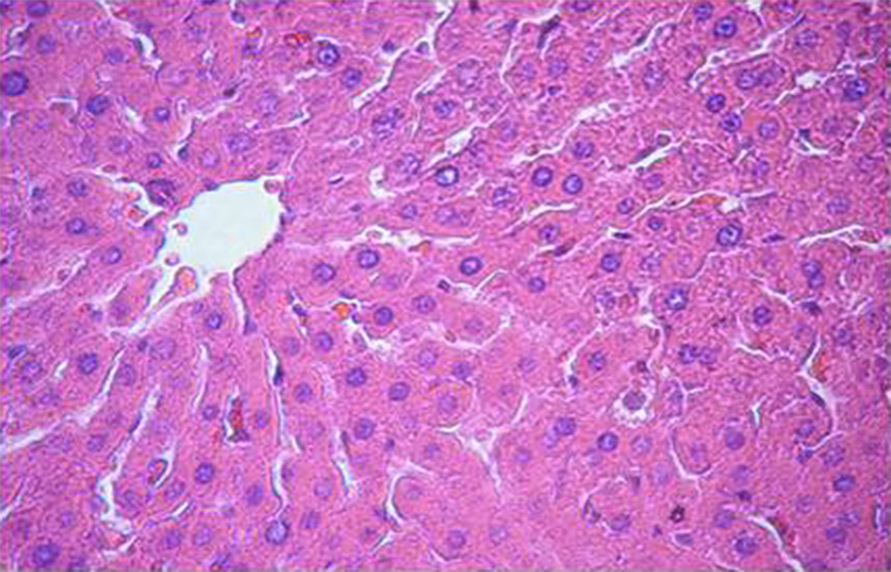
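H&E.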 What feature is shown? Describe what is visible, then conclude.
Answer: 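Central vein. A rounded empty vessel lumen on the left side. Cell cords converge toward this vessel.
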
